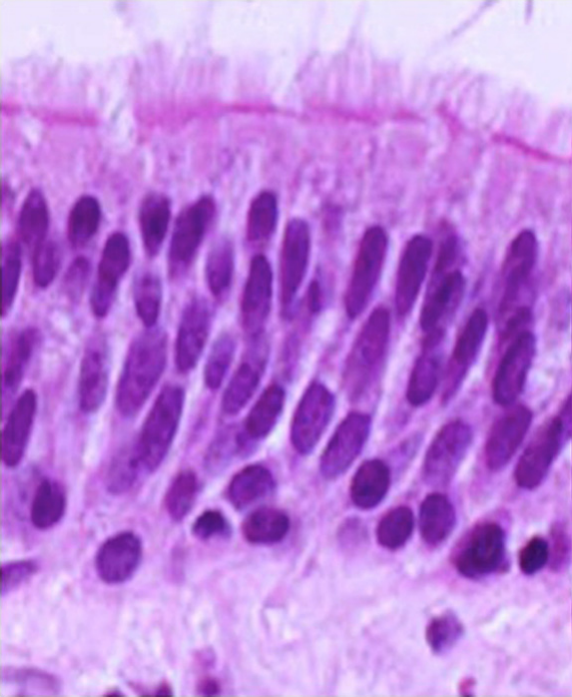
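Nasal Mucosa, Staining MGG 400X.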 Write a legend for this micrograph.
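This is a ciliated pseudo-stratified epithelium, with tall columnar cells whose free surfaces carry a dense fringe of fine cilia above a thin, darker pink line along the apex. The dark purple, oval to elongated nuclei are stacked at several heights, giving a false impression of multiple layers, while the pale pink-lilac cytoplasm of the cells runs in slender columns between them. Along the bottom of the epithelium sit smaller, rounder, darker nuclei of cells that do not reach the surface, and beneath them lies a looser, paler connective tissue.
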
